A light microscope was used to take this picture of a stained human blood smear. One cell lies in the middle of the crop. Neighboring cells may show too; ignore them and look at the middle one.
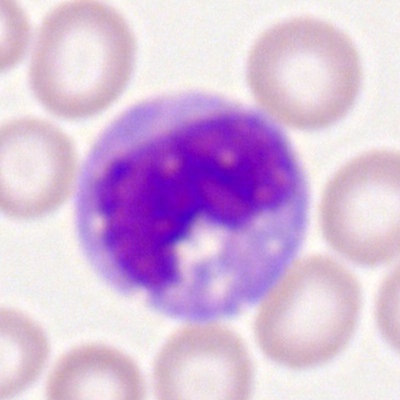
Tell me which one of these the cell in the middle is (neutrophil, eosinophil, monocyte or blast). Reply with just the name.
monocyte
